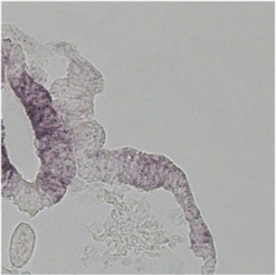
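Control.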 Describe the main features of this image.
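On the left the epithelium folds back on itself into a cup-like loop, and this region carries the strongest purple stain. To the right the sheet continues as a thinner band with weaker, more patchy staining. Beneath the epithelium lies pale, loosely organised mesenchyme with scattered cells and small spaces, and a small rounded structure sits near the lower left edge. Individual nuclei are not resolved, but the columnar, radially aligned packing of the epithelial cells is visible.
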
